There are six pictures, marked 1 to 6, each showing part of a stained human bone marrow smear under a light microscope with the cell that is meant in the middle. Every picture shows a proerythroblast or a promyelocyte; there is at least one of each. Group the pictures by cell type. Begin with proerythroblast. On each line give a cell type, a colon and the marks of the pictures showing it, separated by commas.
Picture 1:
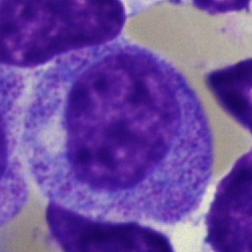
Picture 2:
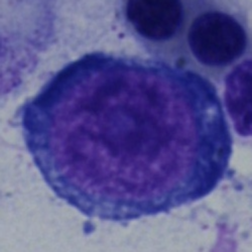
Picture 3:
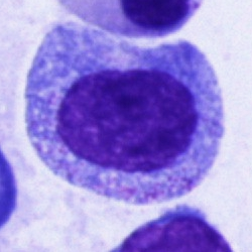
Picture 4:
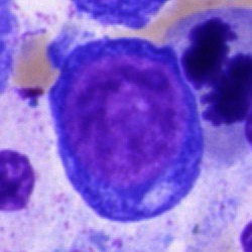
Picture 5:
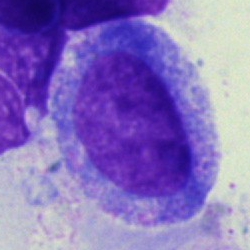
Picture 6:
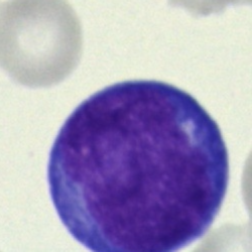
proerythroblast: 2, 4, 6
promyelocyte: 1, 3, 5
